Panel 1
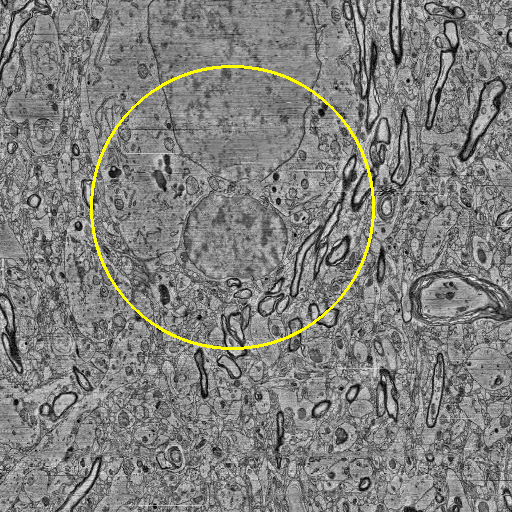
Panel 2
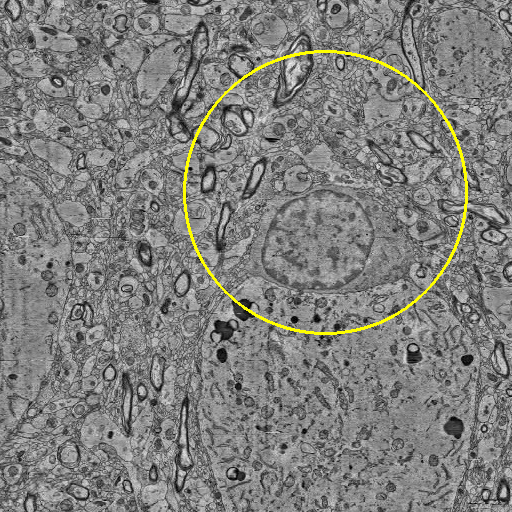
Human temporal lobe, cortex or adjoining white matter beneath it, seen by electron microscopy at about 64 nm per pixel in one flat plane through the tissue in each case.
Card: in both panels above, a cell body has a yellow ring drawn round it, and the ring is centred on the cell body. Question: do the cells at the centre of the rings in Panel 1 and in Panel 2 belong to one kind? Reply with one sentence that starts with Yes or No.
Yes, the cells centred in the rings of Panel 1 and Panel 2 are one kind of cell.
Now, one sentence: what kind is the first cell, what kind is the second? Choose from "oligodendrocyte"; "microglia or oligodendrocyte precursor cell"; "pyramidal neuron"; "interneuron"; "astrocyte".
The cell in the first picture is an oligodendrocyte, and so is the one in the second.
